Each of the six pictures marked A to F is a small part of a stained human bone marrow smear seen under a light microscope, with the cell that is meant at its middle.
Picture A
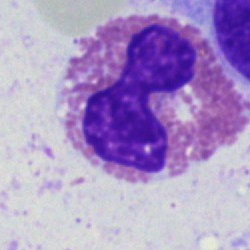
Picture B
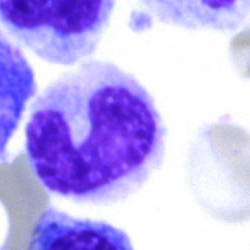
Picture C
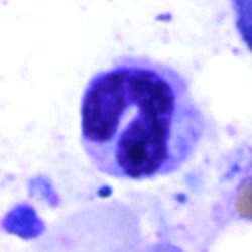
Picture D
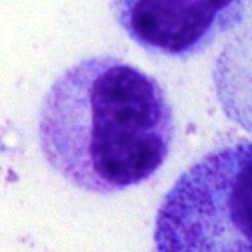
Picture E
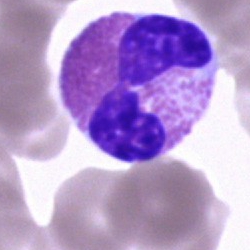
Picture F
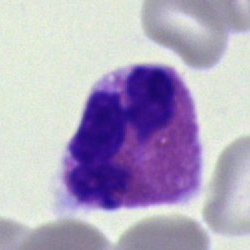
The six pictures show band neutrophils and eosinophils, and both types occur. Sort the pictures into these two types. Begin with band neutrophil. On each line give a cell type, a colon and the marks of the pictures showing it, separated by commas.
band neutrophil: B, C, D
eosinophil: A, E, F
